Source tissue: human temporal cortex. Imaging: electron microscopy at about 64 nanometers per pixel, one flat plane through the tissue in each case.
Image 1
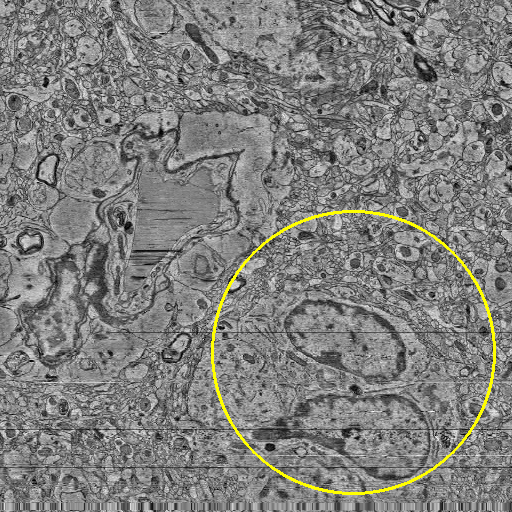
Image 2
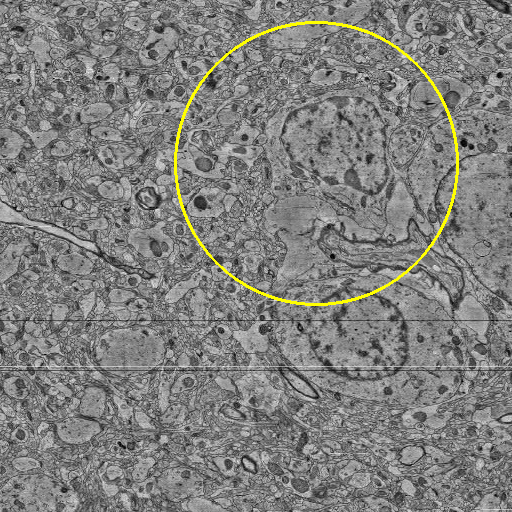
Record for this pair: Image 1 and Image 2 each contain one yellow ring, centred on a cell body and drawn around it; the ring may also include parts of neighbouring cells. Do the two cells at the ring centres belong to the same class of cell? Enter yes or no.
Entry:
yes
